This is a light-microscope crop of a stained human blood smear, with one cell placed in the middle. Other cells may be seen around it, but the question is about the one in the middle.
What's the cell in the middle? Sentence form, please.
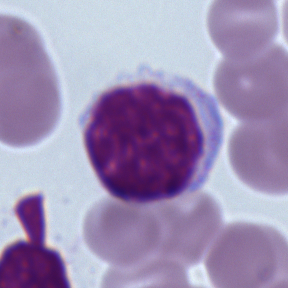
The middle cell in this particular crop is a large granular lymphocyte.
